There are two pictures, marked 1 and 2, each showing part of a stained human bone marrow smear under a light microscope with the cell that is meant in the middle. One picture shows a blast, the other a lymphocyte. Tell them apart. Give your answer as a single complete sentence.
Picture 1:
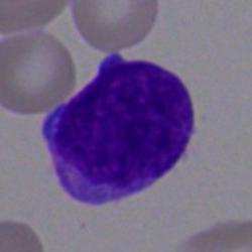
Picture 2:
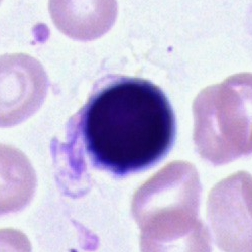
In picture 1 the cell is a blast; in picture 2, a lymphocyte.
